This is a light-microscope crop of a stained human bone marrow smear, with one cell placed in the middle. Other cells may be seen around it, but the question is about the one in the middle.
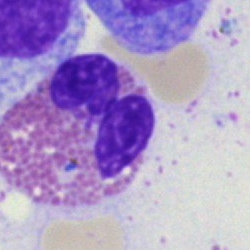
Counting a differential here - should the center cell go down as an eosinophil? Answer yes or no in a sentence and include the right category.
Yes, the cell in the middle has the identity of an eosinophil.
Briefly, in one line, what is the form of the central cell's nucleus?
In short, this nucleus is segmented into two or more parts.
